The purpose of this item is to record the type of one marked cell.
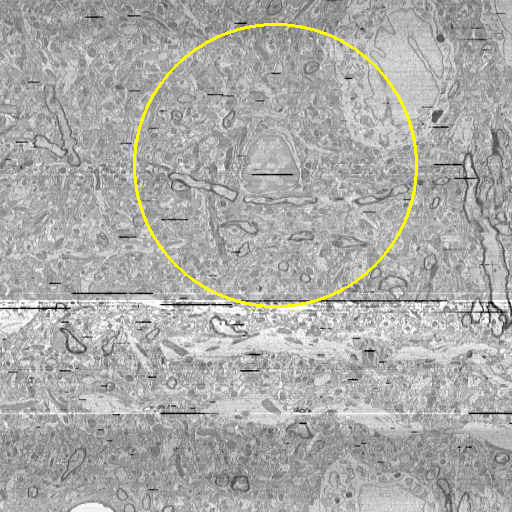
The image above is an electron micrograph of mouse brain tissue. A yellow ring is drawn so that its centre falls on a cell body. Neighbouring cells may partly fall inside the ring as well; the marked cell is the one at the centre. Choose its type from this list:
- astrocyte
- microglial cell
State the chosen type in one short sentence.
What the ring marks here is a microglial cell.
